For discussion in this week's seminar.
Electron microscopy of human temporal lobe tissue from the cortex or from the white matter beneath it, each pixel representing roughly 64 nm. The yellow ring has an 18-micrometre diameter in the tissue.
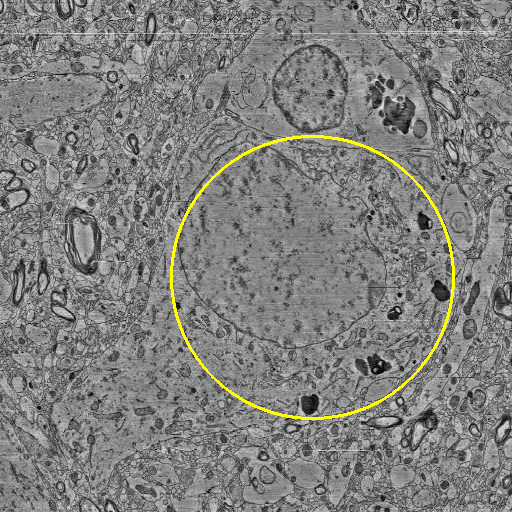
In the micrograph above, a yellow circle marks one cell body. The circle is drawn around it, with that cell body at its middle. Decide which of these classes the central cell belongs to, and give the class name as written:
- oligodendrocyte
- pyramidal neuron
pyramidal neuron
